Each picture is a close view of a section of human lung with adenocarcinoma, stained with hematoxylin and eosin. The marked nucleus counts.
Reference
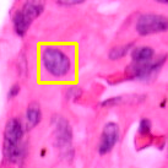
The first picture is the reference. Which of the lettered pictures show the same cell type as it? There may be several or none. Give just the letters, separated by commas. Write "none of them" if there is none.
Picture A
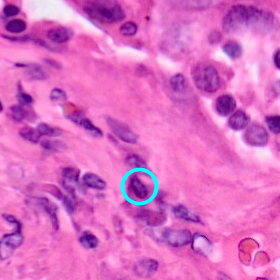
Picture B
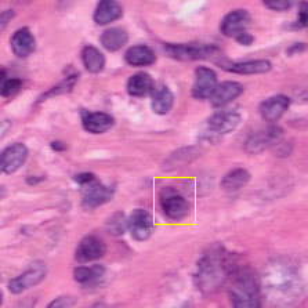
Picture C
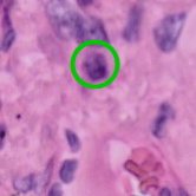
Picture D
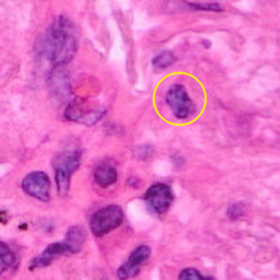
D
